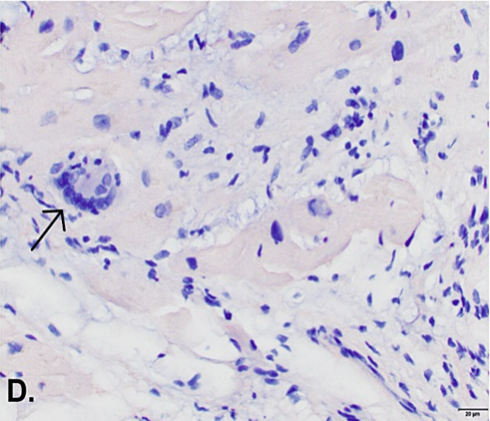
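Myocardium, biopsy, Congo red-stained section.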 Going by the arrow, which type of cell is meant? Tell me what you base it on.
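The arrowed cell is much larger than the surrounding cells. It holds several nuclei clustered together.
Conclusion: giant cell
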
